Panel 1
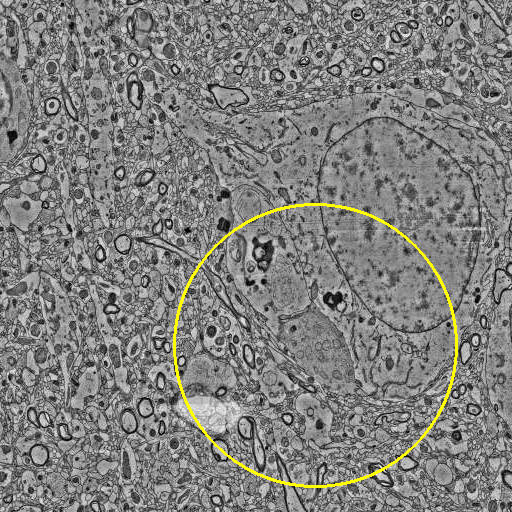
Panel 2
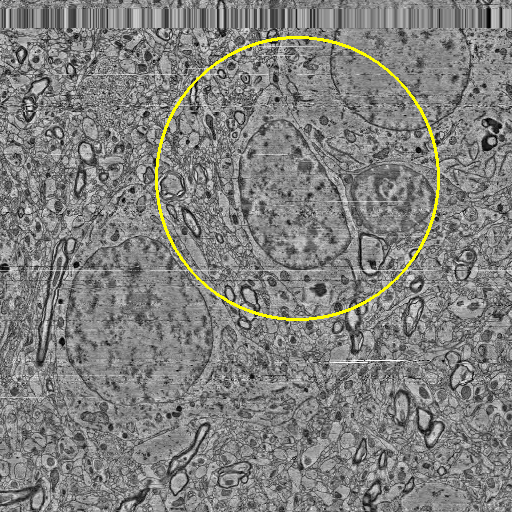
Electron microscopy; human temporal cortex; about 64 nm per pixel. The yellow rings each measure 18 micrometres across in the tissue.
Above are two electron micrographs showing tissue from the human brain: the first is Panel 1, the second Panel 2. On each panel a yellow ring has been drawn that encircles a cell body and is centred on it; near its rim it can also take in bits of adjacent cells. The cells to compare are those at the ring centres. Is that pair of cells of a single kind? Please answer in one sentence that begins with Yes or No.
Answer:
No, the ring-centred cells of Panel 1 and Panel 2 belong to two kinds.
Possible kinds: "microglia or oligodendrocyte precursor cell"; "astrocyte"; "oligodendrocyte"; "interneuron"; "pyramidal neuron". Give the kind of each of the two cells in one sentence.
The cell in the second picture is an interneuron, and that in the first is an oligodendrocyte.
